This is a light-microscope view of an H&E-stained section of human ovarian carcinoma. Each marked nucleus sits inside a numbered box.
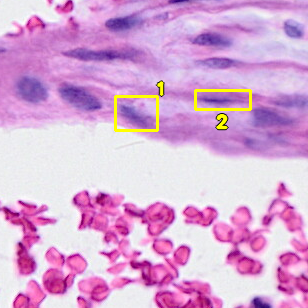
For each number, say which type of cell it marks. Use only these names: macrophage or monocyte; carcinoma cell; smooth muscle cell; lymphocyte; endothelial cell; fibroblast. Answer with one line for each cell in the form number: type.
1: endothelial cell
2: smooth muscle cell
